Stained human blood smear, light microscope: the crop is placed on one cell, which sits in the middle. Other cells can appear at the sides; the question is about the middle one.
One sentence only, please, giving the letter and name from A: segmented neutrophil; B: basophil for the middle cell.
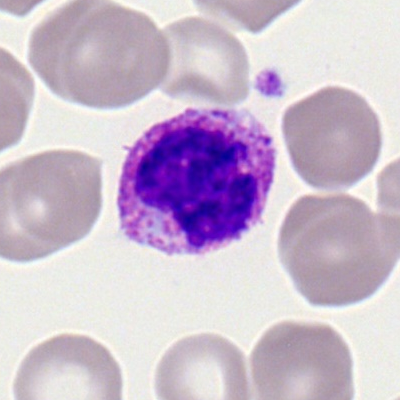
As the central cell is a basophil, option B is correct.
